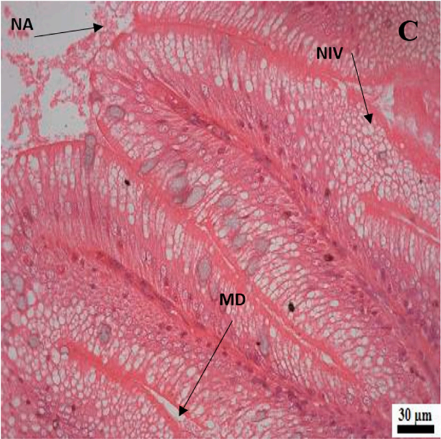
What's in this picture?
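This is a section of intestinal mucosa, with long folds lined by a single layer of tall columnar epithelial cells. The epithelium is stained pink, with elongated purple nuclei lying in a row towards the base of the cells. Very many pale, clear, rounded vacuoles crowd the epithelium and give it a foamy, honeycomb look. Each fold has a thin pink connective tissue core running along its centre. Along the free surface of some folds the epithelium looks frayed and broken up, with loose debris in the lumen.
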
